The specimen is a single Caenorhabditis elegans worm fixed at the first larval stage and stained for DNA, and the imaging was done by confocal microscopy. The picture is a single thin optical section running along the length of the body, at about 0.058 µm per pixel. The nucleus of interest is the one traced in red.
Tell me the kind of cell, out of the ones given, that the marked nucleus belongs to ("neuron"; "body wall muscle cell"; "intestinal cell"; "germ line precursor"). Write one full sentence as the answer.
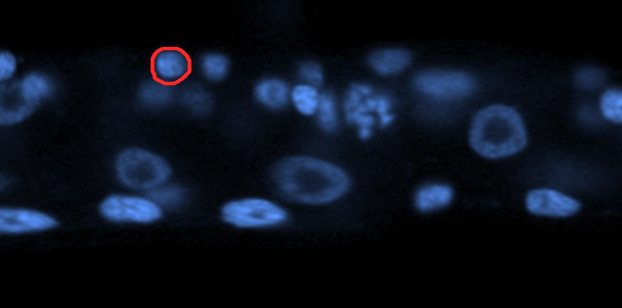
The cell with the marked nucleus is a neuron.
